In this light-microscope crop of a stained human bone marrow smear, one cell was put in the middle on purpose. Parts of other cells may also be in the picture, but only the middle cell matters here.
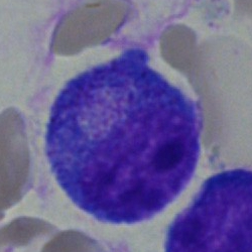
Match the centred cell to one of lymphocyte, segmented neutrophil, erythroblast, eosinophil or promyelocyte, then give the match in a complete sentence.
The cell at the central position in this crop is a promyelocyte.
